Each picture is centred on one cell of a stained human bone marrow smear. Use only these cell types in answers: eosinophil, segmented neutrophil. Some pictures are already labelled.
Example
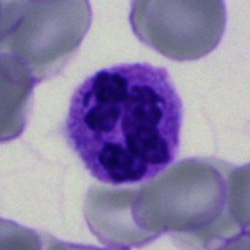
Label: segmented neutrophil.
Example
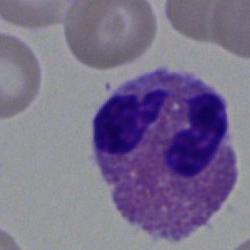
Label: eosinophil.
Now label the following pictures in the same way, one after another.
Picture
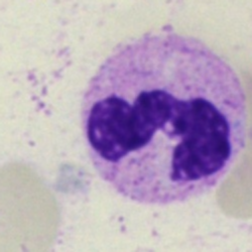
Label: segmented neutrophil.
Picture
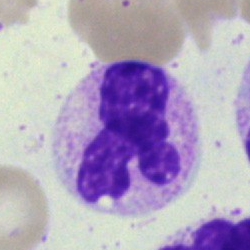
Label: segmented neutrophil.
